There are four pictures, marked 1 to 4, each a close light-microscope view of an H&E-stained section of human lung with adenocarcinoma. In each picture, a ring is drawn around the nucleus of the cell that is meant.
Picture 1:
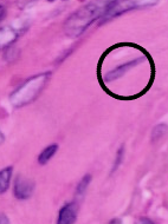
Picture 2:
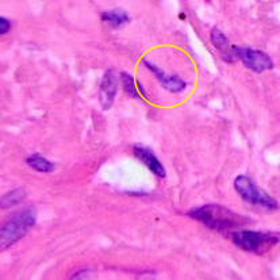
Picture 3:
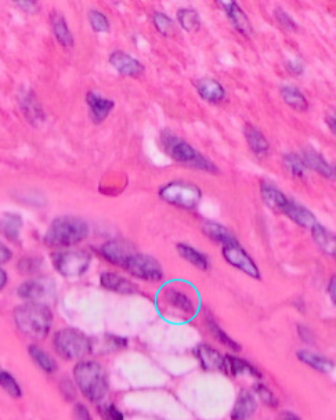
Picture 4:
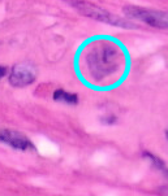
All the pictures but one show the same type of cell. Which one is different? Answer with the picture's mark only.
3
